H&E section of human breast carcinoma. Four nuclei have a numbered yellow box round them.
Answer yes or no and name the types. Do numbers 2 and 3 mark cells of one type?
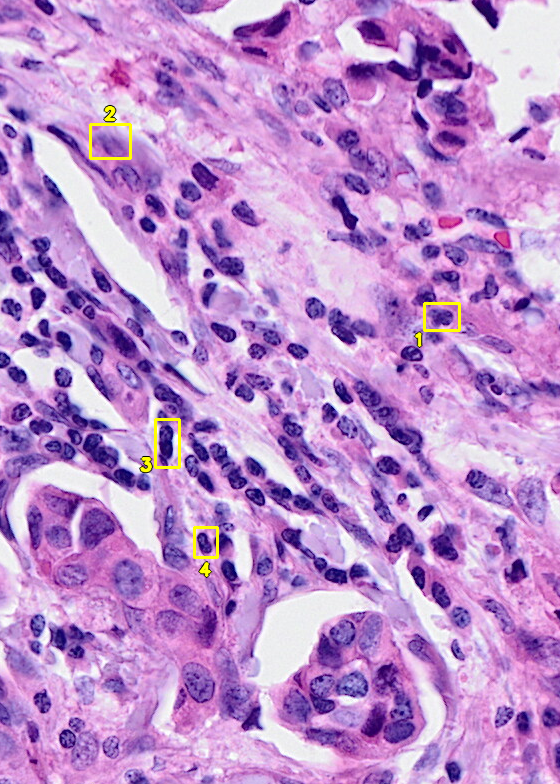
No, cell 2 is an endothelial cell and cell 3 is a lymphocyte.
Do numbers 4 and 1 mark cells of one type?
Yes, both are lymphocytes.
